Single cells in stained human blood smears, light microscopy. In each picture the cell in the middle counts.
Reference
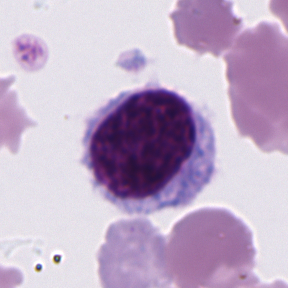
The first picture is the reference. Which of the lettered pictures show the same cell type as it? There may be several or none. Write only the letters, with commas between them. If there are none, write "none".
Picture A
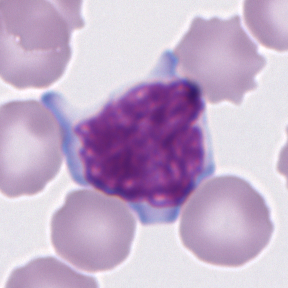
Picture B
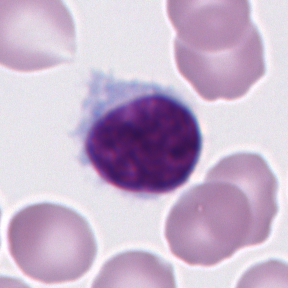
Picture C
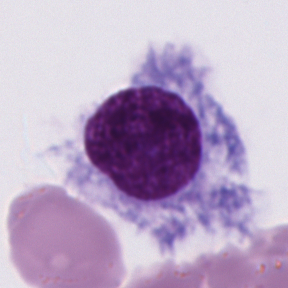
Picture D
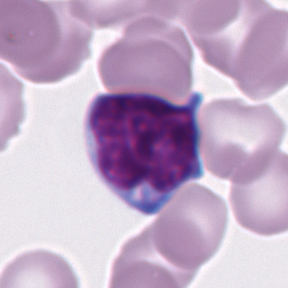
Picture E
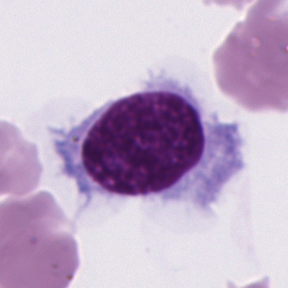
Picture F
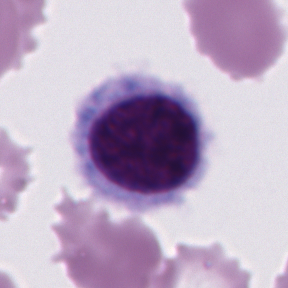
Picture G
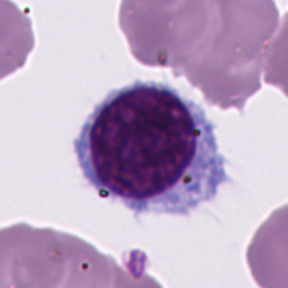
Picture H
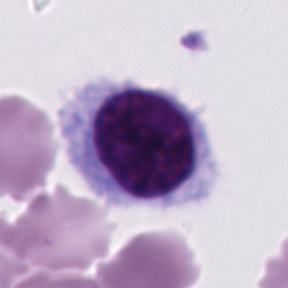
B, C, E, F, G, H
